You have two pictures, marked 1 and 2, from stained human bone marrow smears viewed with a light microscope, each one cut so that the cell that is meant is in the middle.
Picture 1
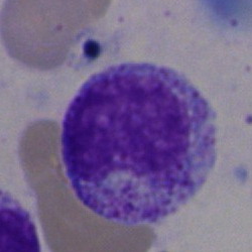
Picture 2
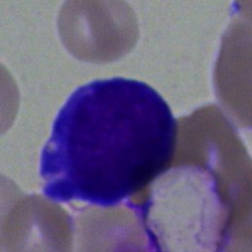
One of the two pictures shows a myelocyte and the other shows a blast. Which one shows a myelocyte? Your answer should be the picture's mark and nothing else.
1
